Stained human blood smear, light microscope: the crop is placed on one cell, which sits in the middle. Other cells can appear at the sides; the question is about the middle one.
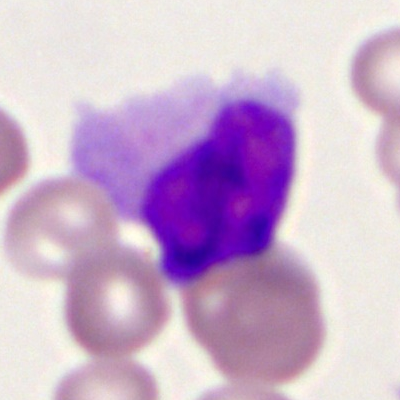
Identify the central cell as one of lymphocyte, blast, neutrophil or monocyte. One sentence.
The middle cell in this particular crop is a monocyte.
